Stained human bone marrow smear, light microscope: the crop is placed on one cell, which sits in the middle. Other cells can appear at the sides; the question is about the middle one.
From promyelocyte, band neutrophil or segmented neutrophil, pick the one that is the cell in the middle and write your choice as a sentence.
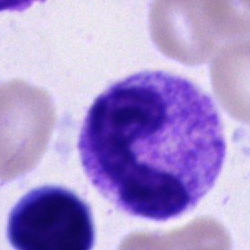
The cell positioned in the middle of the field is a band neutrophil.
